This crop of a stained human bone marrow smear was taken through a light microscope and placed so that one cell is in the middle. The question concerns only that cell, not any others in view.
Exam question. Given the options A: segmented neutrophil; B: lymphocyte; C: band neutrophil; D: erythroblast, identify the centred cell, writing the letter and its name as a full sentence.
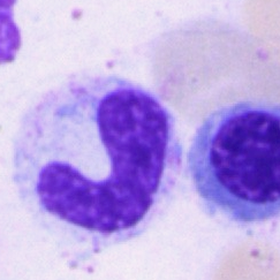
Option C is the correct option, with the middle cell being a band neutrophil.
